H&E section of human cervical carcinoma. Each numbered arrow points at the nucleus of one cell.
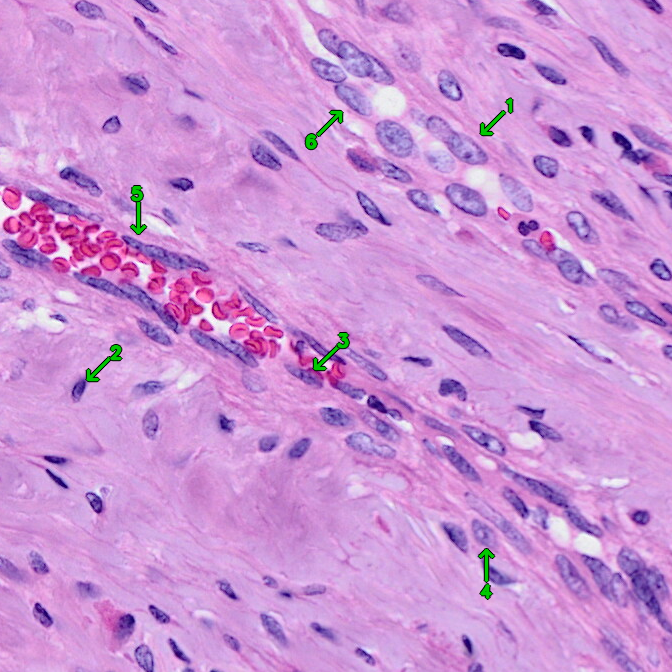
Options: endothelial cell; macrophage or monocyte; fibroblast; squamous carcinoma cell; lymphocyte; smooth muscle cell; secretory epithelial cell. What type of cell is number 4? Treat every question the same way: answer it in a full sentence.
The nucleus with number 4 is that of a smooth muscle cell.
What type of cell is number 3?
The one numbered 3 among the marked cells is an endothelial cell.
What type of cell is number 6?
Regarding cell 6, this one is an endothelial cell.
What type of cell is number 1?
The marked cell bearing number 1 is an endothelial cell.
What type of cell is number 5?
Recognised here as an endothelial cell is the cell numbered 5.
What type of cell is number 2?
The cell marked with number 2 is a fibroblast.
